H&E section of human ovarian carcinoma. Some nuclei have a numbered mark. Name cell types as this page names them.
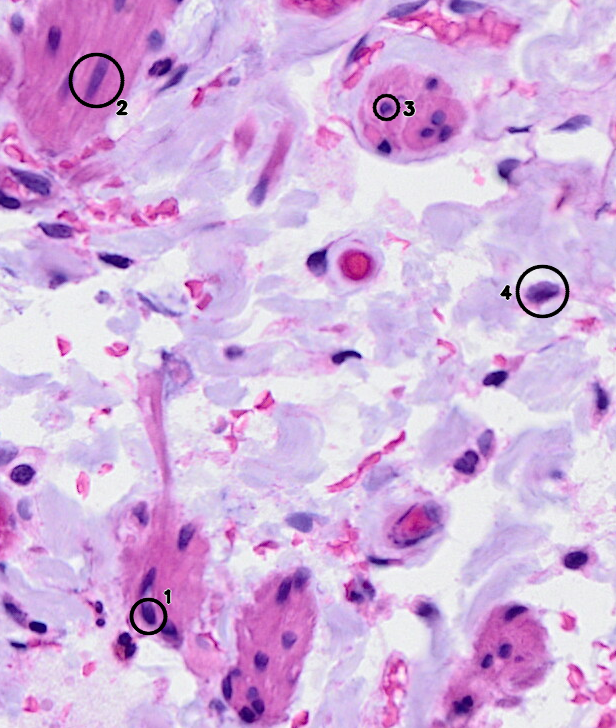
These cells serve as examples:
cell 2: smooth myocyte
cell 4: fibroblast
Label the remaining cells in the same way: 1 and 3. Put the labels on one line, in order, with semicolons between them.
smooth myocyte; smooth myocyte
